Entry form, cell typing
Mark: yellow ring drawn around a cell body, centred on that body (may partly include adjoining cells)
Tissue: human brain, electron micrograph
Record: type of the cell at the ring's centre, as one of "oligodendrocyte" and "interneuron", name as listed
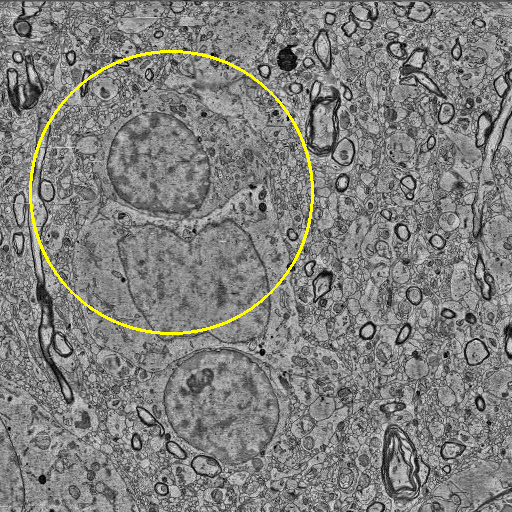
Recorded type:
oligodendrocyte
